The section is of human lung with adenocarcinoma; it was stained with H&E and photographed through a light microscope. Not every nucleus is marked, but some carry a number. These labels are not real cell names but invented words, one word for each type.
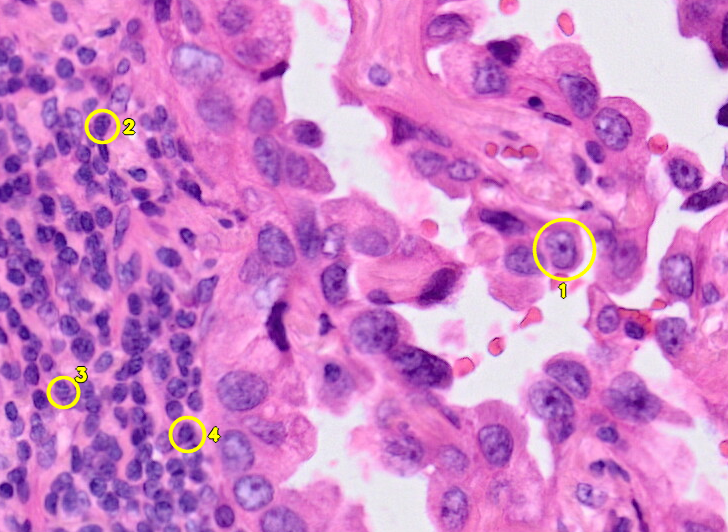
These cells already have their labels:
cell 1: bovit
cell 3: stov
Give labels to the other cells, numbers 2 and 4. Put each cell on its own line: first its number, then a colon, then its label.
2: stov
4: stov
